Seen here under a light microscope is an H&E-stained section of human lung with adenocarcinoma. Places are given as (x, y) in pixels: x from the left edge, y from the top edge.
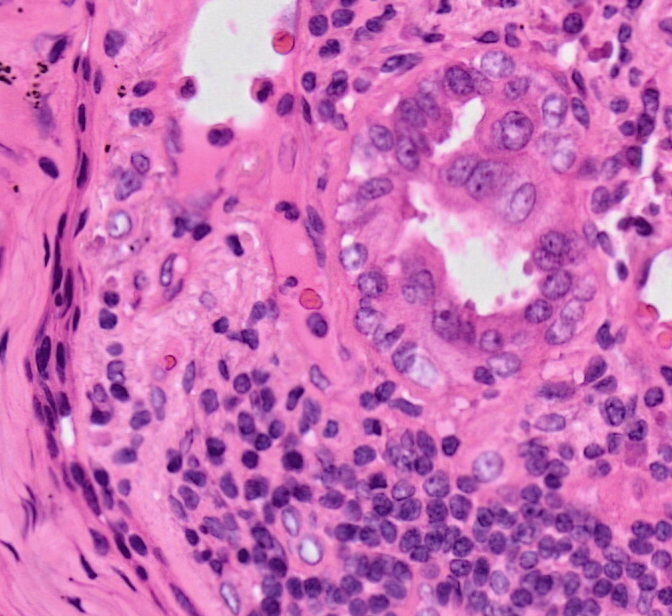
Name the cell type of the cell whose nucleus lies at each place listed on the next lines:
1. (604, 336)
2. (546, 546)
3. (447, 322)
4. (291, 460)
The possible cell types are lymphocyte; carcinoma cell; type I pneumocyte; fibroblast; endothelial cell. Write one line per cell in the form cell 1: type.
cell 1: lymphocyte
cell 2: lymphocyte
cell 3: carcinoma cell
cell 4: lymphocyte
